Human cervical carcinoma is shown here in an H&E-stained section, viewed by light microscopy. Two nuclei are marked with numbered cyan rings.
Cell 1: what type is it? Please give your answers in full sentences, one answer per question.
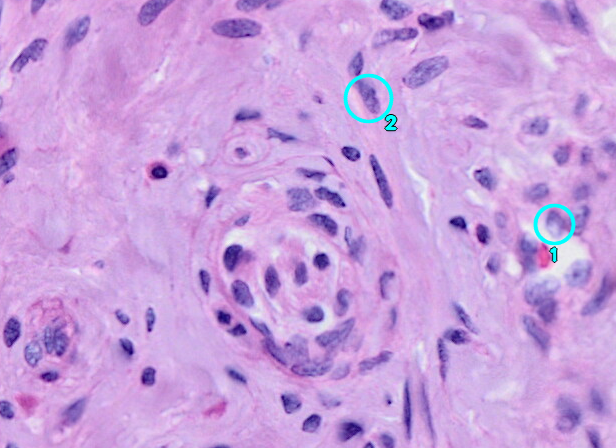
The cell with the number 1 is an endothelial cell.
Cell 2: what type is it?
The cell referenced by the number 2 is a fibroblast in this field.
